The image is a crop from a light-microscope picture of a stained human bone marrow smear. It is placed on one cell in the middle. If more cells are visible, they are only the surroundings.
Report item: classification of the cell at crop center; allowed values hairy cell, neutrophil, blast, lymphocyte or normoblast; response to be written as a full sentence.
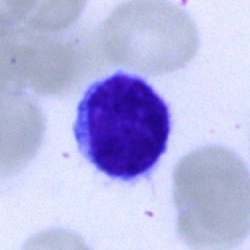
The target cell in the middle of the crop is a lymphocyte.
